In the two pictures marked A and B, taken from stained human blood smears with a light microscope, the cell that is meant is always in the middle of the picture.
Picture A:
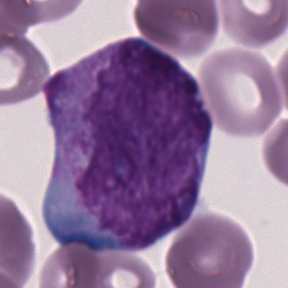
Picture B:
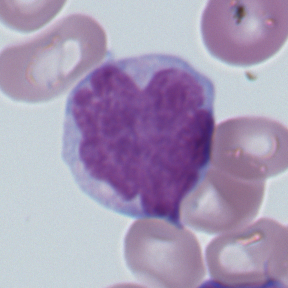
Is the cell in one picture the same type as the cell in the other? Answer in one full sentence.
Yes, both cells are atypical promyelocytes.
